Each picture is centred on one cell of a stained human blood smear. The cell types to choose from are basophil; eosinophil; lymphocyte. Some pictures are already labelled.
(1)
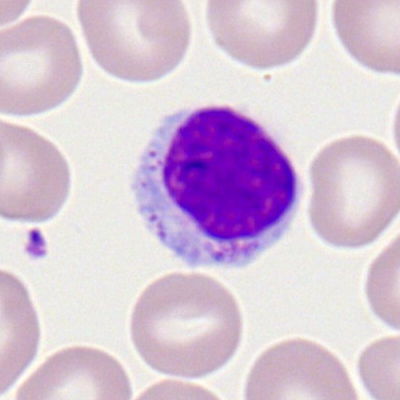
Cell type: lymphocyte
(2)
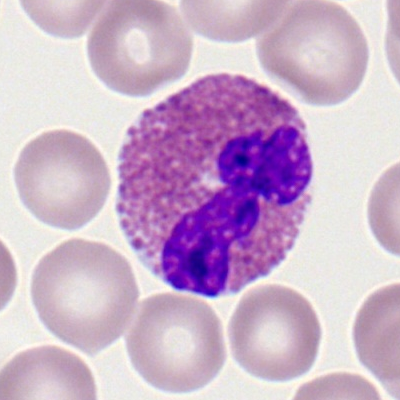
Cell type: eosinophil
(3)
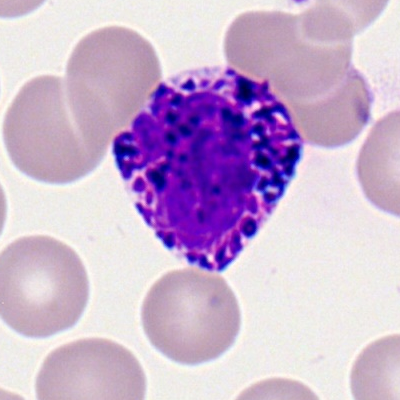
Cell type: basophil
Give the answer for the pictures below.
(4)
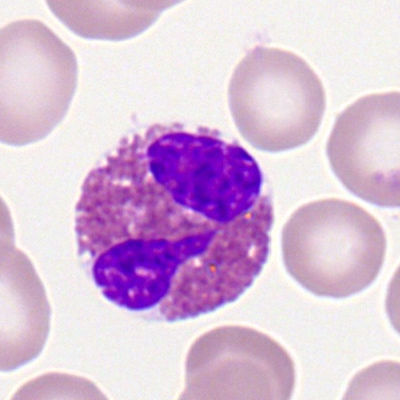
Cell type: eosinophil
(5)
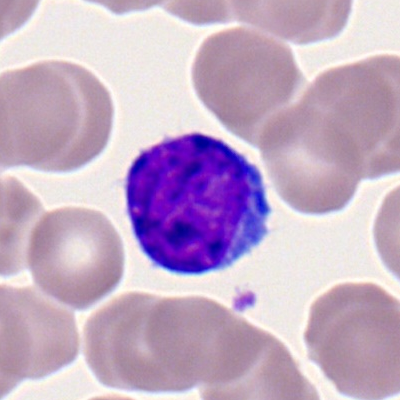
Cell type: lymphocyte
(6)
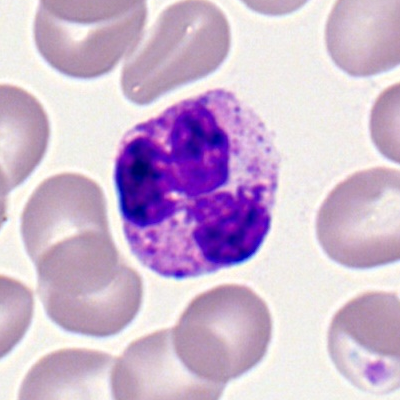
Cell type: basophil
